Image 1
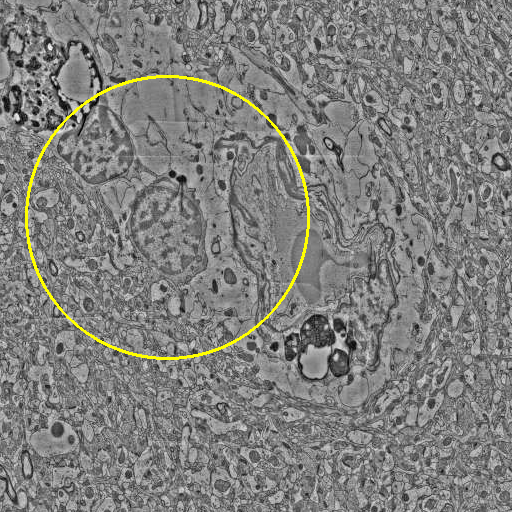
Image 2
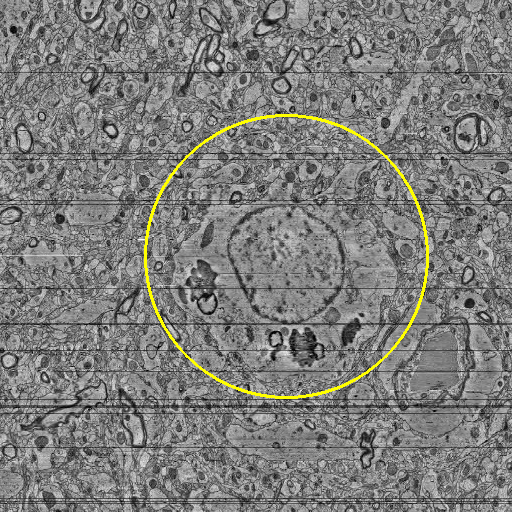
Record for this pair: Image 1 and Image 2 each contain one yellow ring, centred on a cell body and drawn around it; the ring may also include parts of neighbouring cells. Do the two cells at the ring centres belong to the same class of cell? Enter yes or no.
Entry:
no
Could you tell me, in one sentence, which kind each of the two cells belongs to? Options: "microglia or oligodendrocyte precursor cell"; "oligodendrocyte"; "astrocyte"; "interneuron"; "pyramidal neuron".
At the centre of the first ring sits an oligodendrocyte, and at the centre of the second sits an astrocyte.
